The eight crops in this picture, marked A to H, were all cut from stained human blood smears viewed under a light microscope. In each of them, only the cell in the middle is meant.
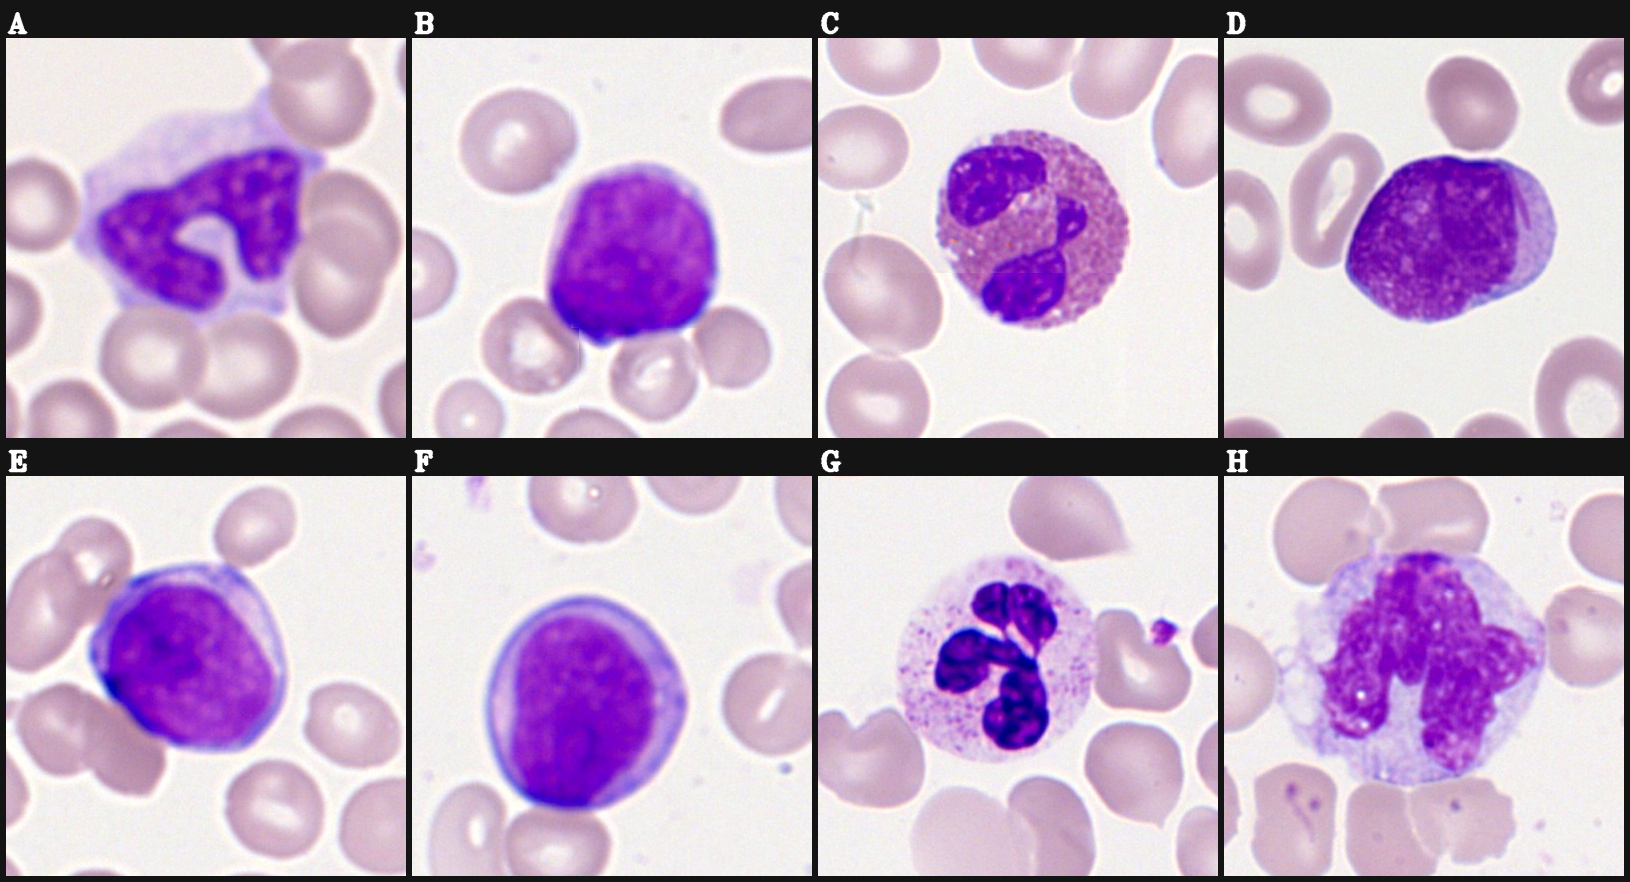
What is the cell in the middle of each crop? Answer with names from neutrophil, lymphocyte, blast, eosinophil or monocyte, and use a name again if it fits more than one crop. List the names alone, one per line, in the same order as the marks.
monocyte
blast
eosinophil
blast
blast
blast
neutrophil
monocyte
